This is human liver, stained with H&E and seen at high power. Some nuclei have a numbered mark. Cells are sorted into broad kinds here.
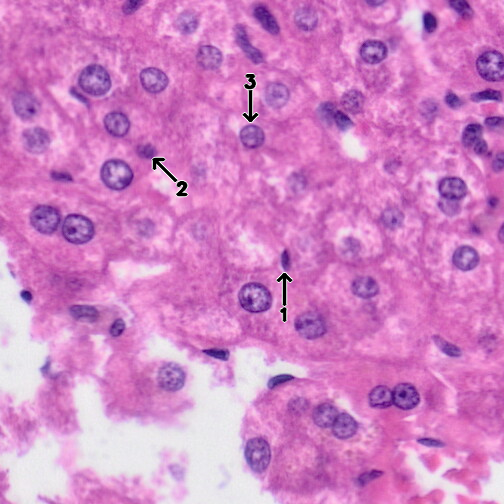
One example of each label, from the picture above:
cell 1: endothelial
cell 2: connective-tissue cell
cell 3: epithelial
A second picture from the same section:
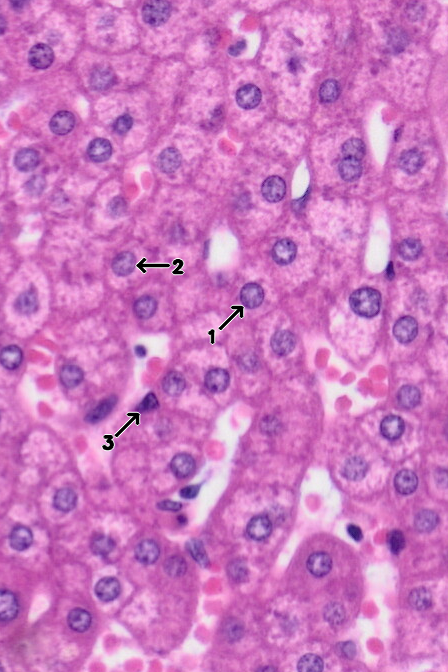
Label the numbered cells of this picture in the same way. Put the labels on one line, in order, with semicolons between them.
epithelial; epithelial; connective-tissue cell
